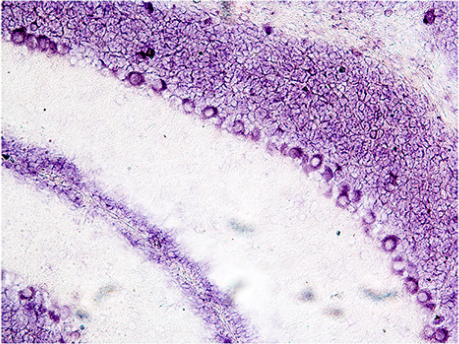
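Cerebellar cortex with a single row of large, round Purkinje cell bodies strongly stained purple at the edge of a densely purple, finely granular layer. On the other side of the row lies a pale layer with little staining. A second, narrower fold of cortex with a purple band runs parallel at the lower left. The Purkinje cell bodies are the most intensely stained elements.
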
